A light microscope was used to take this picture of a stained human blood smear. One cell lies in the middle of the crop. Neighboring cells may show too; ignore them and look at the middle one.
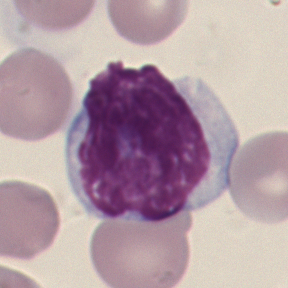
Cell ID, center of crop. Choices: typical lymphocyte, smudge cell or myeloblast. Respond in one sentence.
The cell that lies at the centre of the crop is a myeloblast.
